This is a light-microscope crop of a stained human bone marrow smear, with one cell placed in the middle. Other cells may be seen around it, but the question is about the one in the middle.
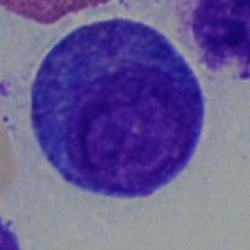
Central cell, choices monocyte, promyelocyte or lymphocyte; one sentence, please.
Regarding the central cell, it is a promyelocyte.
